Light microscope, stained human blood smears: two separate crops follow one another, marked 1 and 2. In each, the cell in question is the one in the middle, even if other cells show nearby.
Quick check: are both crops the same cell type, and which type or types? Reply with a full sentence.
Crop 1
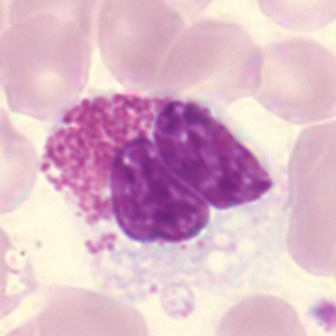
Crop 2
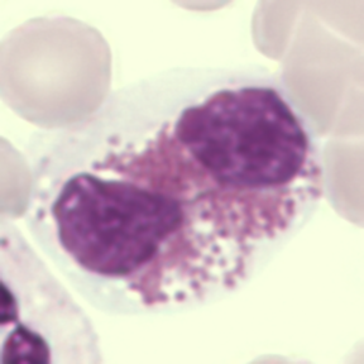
Yes, both of the crops in this pair show eosinophils, one cell in each crop.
